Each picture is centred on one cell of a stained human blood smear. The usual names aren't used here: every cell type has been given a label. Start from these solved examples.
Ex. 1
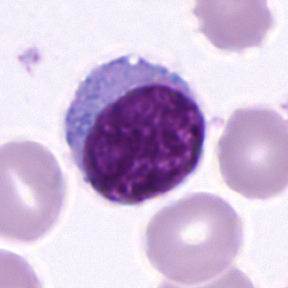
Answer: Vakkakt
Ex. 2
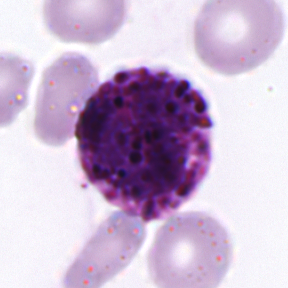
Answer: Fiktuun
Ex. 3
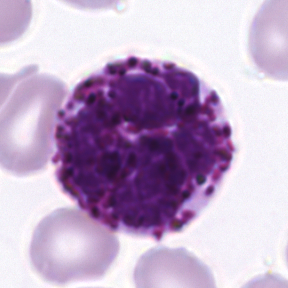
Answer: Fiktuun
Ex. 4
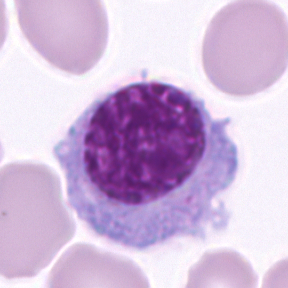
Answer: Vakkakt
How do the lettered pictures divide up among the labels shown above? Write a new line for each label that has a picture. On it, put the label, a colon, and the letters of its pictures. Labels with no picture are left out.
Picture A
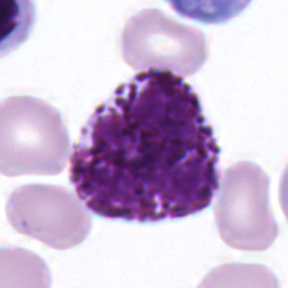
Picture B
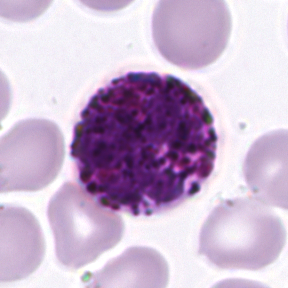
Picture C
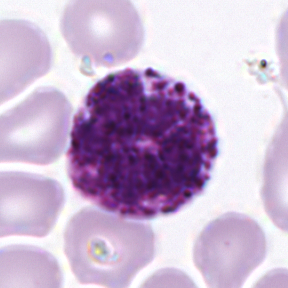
Fiktuun: A, B, C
